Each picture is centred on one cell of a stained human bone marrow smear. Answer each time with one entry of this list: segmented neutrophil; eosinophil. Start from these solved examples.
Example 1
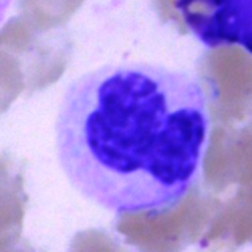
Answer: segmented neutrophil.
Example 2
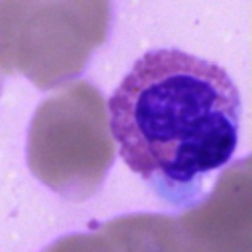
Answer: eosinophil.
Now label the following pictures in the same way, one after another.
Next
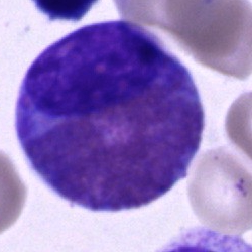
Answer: eosinophil.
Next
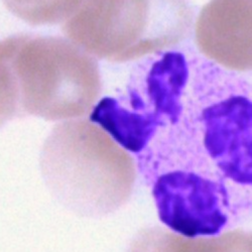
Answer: segmented neutrophil.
